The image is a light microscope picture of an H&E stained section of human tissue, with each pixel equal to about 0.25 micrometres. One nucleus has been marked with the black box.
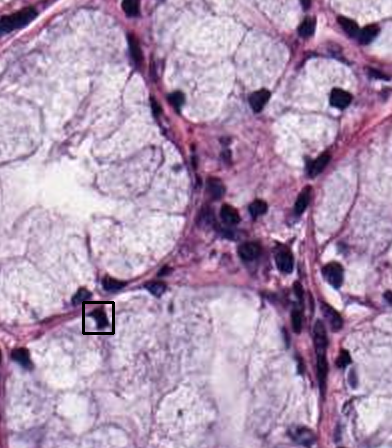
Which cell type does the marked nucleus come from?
mucous gland cell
